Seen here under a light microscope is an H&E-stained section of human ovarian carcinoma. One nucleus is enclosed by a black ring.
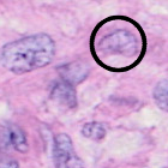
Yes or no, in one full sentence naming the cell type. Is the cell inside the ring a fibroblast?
Yes, the cell inside the ring is one that is classed as a fibroblast.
